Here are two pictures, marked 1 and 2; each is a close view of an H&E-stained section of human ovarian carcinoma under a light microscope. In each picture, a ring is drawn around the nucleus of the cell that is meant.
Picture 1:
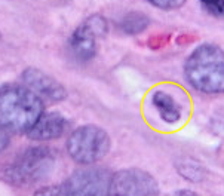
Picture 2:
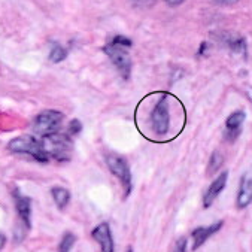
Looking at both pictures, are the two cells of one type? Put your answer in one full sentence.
No, the types are not the same, since picture 1 shows a lymphocyte and picture 2 a fibroblast.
